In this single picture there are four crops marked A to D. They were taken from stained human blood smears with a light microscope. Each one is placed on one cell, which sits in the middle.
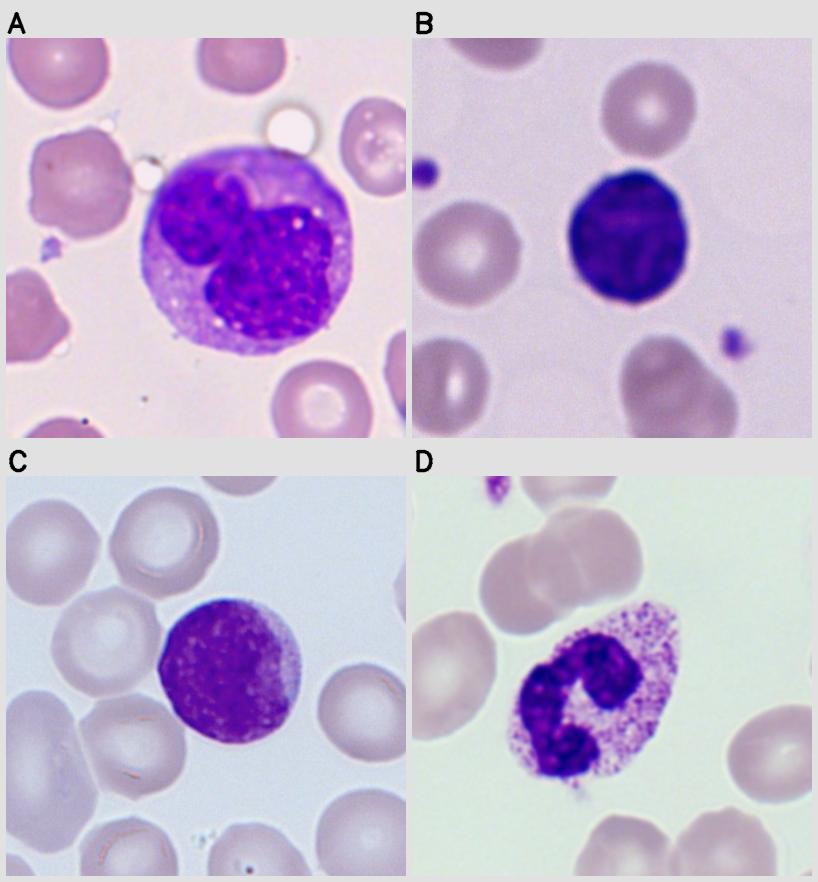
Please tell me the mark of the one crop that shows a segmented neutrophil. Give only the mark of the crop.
D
